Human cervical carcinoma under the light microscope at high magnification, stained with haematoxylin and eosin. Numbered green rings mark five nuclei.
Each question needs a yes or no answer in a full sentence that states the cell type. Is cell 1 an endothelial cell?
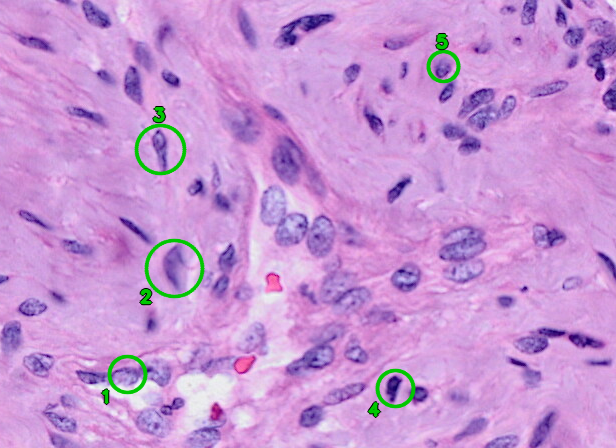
Yes, looking at number 1, that cell is an endothelial cell.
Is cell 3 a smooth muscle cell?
No, rather than a smooth muscle cell, cell number 3 is a fibroblast.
